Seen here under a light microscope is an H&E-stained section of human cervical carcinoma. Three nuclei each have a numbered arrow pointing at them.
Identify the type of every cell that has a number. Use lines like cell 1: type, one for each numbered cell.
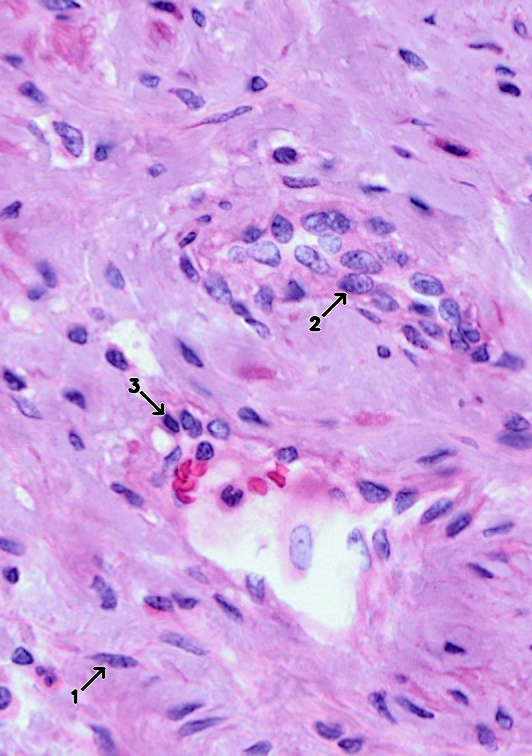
cell 1: fibroblast
cell 2: endothelial cell
cell 3: endothelial cell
